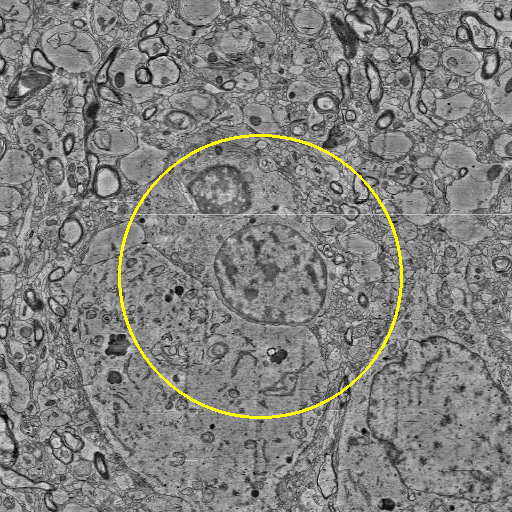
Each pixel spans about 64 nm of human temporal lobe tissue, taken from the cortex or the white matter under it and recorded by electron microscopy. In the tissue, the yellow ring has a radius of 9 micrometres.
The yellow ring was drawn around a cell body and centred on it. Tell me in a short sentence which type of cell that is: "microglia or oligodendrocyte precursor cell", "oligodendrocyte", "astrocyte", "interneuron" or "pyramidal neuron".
The cell at the ring's centre is an oligodendrocyte.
